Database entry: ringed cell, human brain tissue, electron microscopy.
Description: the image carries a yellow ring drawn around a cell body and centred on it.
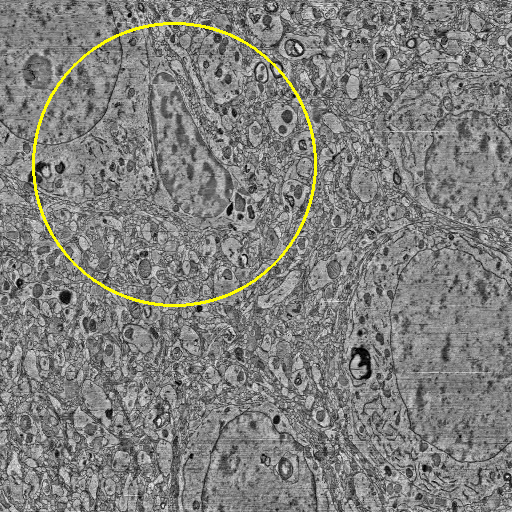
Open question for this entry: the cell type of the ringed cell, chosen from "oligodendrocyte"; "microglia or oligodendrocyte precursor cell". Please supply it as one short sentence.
The ringed cell is a microglial cell or oligodendrocyte precursor cell.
